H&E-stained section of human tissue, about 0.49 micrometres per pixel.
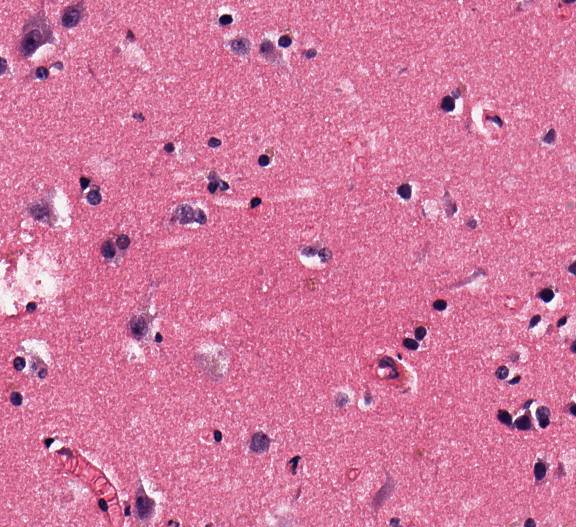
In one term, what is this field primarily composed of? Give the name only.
cerebral cortex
